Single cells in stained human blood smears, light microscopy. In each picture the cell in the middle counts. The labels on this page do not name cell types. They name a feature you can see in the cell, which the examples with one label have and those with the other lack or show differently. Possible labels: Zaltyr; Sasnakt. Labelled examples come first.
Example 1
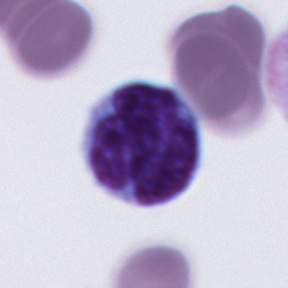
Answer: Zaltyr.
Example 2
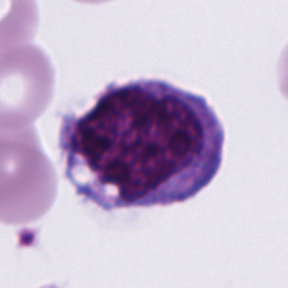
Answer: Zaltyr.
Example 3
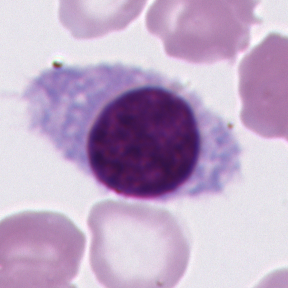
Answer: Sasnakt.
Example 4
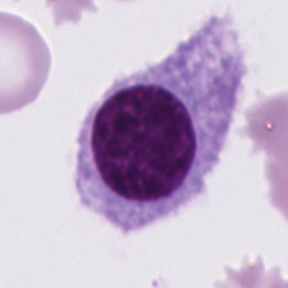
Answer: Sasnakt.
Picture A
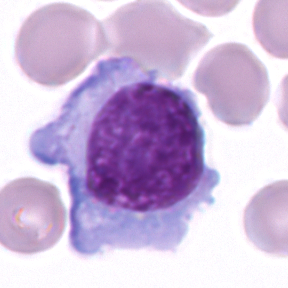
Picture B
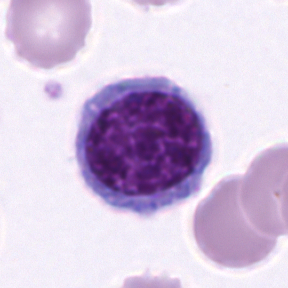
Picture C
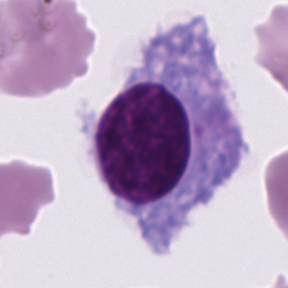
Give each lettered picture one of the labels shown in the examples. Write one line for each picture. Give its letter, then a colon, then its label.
A: Sasnakt.
B: Zaltyr.
C: Sasnakt.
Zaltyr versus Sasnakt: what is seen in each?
In Zaltyr: scant cytoplasm. In Sasnakt: abundant cytoplasm.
